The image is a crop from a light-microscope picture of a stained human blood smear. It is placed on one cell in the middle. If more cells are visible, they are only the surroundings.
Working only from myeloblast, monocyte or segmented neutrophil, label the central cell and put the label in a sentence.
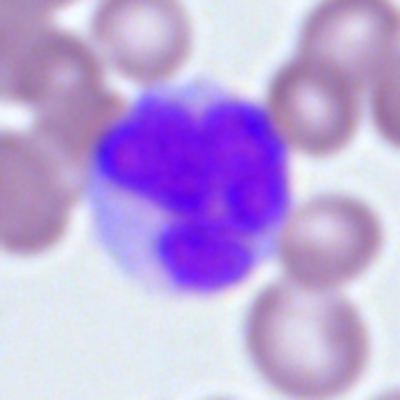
The cell of interest, in the center, is a monocyte.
